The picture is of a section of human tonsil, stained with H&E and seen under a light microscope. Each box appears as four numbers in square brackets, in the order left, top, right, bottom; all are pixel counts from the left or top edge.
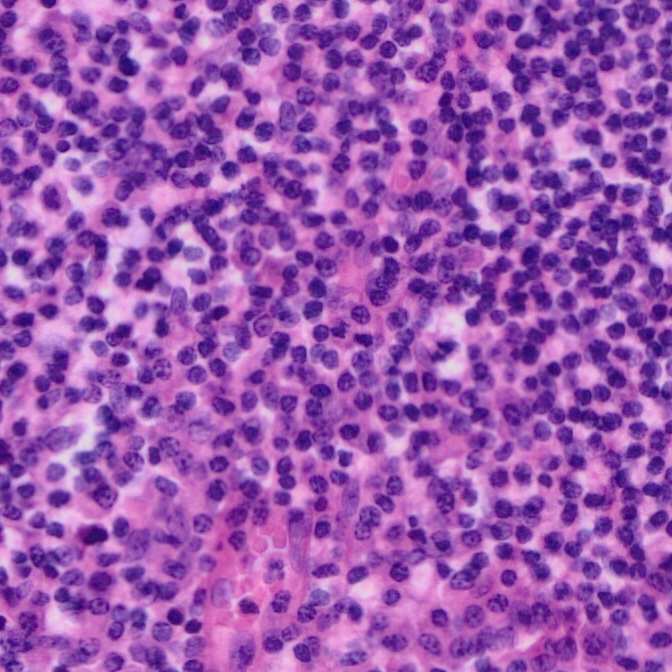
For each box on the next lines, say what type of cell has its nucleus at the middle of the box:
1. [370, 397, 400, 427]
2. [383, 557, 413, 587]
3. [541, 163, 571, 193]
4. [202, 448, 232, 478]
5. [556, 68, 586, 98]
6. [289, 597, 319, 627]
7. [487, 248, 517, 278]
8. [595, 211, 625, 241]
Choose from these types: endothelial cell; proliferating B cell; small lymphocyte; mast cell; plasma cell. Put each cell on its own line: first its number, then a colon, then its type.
1: plasma cell
2: plasma cell
3: small lymphocyte
4: plasma cell
5: small lymphocyte
6: plasma cell
7: small lymphocyte
8: small lymphocyte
